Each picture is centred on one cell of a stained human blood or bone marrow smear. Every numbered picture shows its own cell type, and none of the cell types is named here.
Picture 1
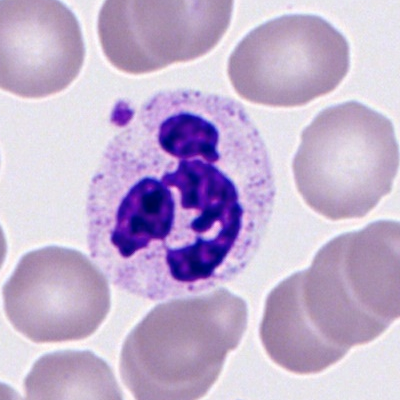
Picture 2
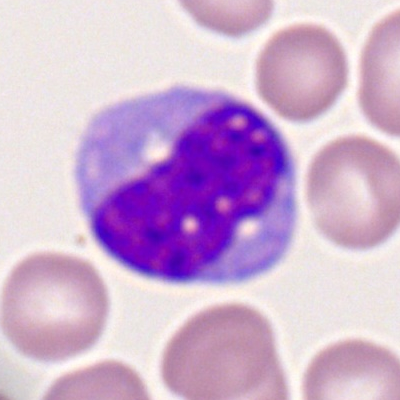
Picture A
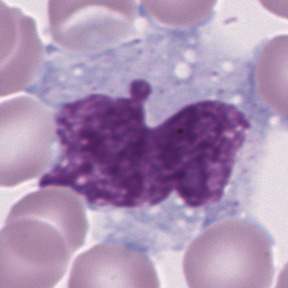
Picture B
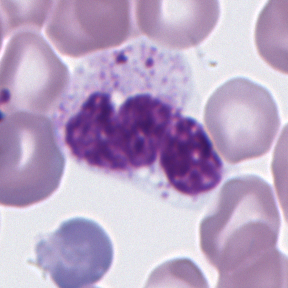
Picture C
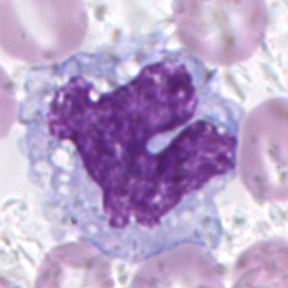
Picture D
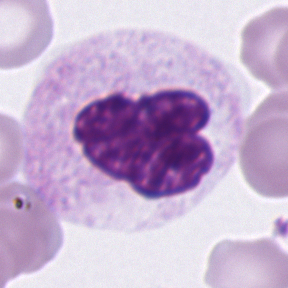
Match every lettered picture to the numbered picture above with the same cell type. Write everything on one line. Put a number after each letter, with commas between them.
A 2, B 1, C 2, D 1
